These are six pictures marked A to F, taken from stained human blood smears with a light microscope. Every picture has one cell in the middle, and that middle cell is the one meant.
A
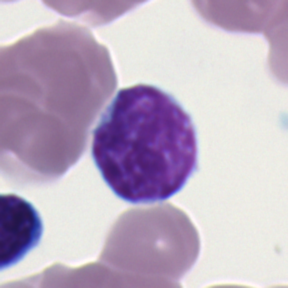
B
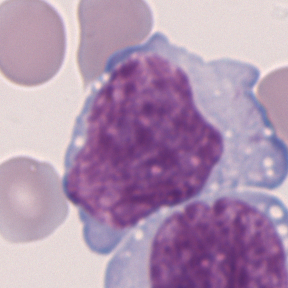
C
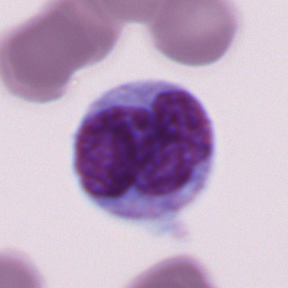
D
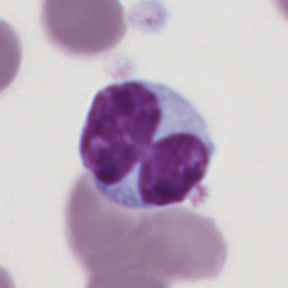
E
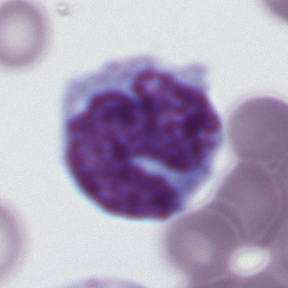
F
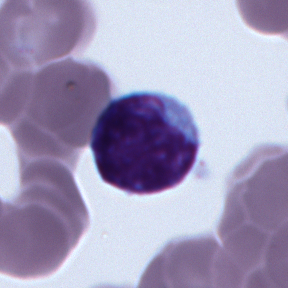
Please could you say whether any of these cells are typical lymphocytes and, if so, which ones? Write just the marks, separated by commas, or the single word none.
A, D, F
